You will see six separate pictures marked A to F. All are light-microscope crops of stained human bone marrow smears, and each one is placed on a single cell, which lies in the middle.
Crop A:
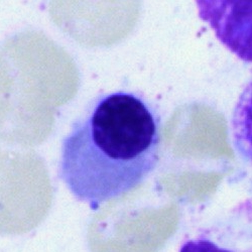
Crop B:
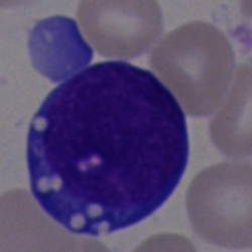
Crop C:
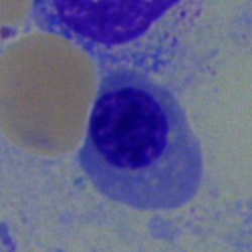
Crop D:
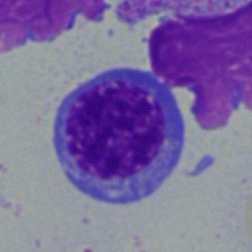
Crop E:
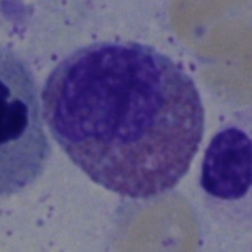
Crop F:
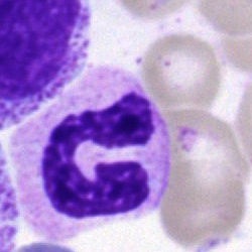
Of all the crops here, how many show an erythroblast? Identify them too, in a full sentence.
There are three crops with erythroblasts: A, C and D.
